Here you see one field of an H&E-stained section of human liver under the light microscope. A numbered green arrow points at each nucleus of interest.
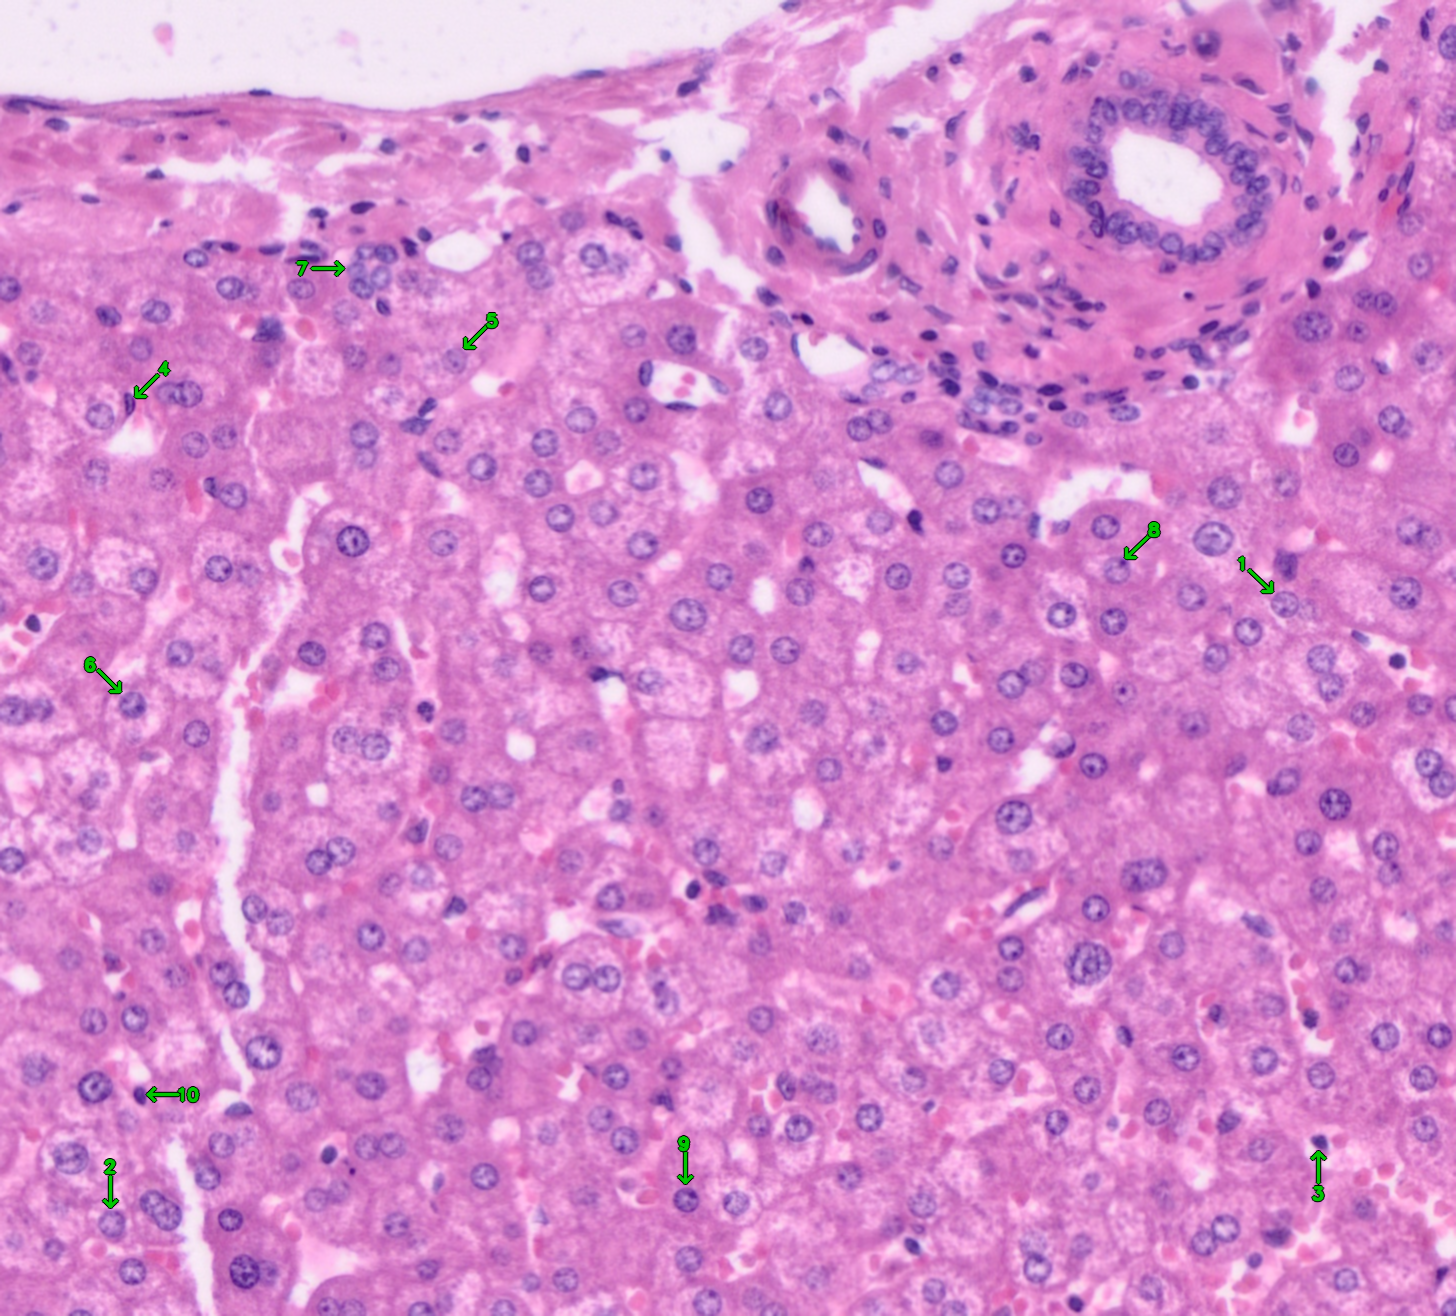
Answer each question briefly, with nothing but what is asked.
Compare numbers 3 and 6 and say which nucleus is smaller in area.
3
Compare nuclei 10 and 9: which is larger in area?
9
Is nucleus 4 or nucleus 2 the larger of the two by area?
2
